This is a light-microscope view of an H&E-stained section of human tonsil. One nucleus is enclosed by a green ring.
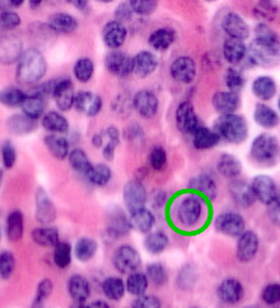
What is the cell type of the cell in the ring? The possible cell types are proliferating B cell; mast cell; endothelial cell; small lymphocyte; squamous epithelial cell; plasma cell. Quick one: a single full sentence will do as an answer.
In this section, the cell in the ring is a plasma cell.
